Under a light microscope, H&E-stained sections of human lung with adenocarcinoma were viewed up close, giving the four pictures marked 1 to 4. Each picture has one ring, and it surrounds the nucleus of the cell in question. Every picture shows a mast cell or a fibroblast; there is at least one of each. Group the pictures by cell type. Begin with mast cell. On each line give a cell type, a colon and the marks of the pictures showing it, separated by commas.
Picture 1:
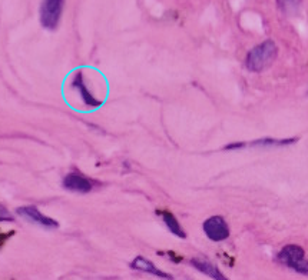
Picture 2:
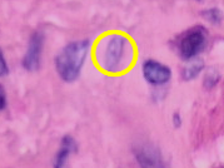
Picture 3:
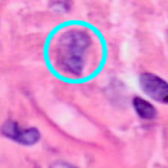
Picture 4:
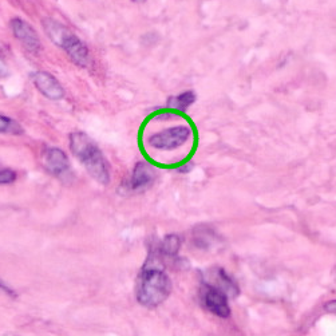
mast cell: 4
fibroblast: 1, 2, 3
